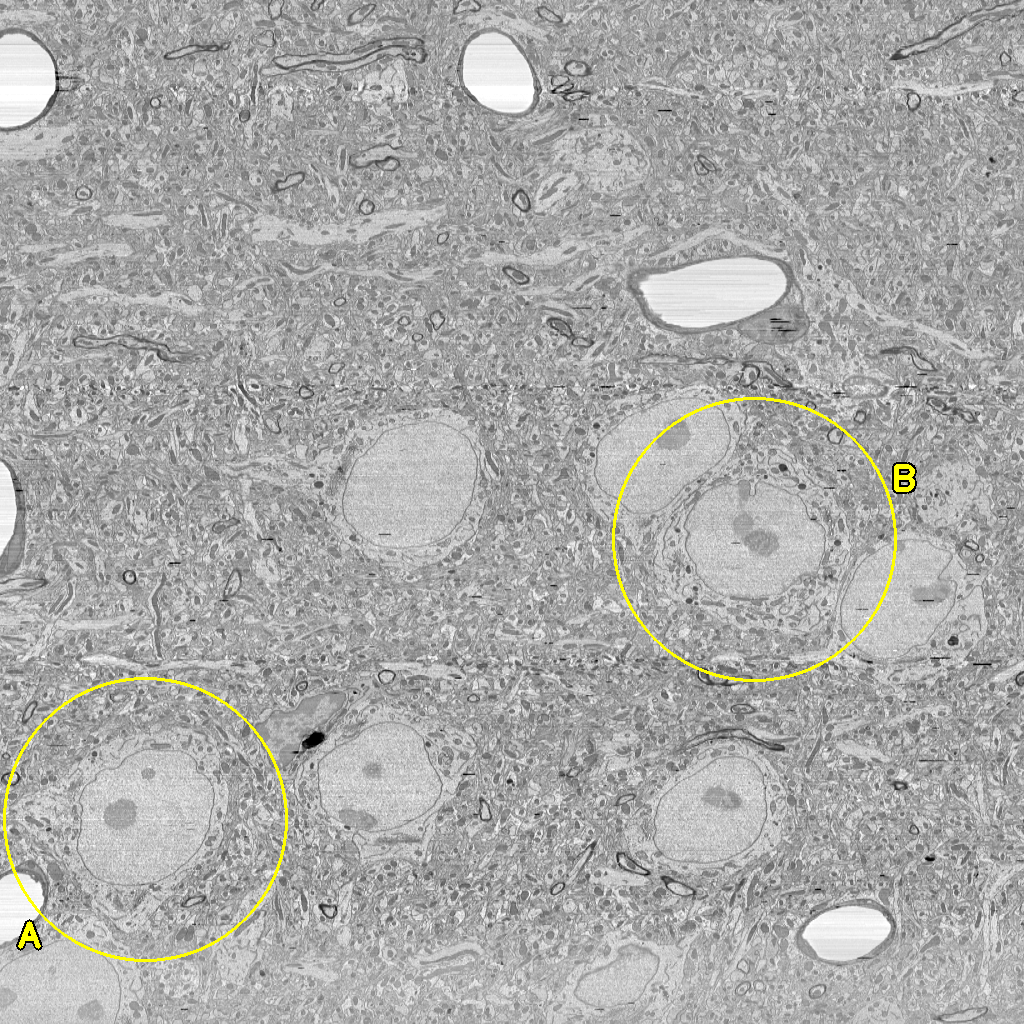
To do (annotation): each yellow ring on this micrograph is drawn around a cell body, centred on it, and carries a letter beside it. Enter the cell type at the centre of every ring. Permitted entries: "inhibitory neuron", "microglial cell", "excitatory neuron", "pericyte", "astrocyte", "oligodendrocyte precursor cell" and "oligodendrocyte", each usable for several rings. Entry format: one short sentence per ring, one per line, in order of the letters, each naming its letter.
Ring A: the cell at its centre is an excitatory neuron.
Ring B: the cell at its centre is an inhibitory neuron.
